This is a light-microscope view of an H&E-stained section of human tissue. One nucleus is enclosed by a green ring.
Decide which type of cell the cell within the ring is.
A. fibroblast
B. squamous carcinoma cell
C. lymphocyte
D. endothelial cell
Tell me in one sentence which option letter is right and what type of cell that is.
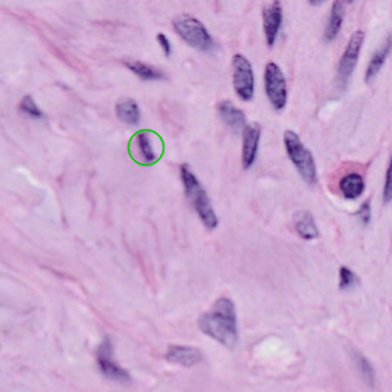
Option A is accurate, for the cell within the ring is a fibroblast.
